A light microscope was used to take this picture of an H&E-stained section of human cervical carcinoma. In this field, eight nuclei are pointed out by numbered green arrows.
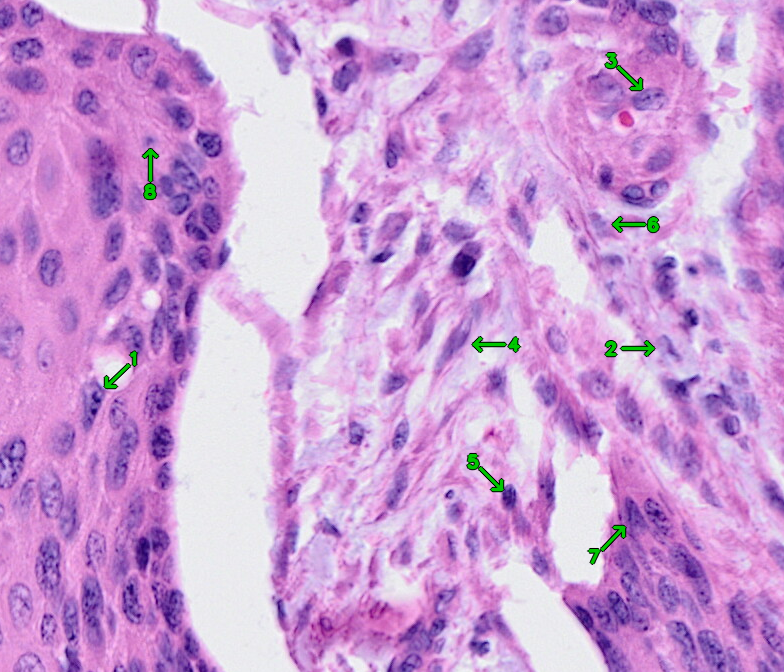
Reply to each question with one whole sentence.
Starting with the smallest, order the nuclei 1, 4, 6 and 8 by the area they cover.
By area, going up from the smallest, they rank 8, 6, 1, 4.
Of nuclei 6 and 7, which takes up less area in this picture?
Nucleus 6 is the smaller one; nucleus 7 covers about 1.5 times its area.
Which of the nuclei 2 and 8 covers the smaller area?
Nucleus 8 is the smaller one; nucleus 2 covers about 3 times its area.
